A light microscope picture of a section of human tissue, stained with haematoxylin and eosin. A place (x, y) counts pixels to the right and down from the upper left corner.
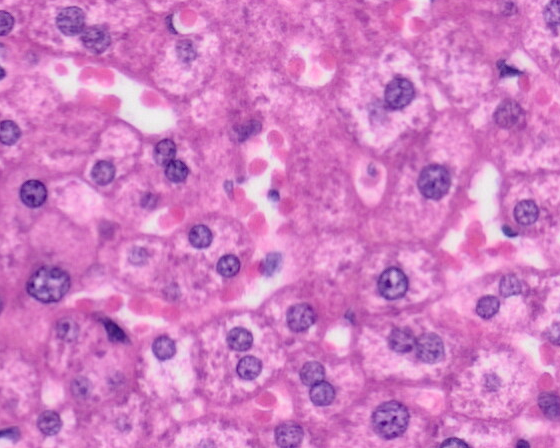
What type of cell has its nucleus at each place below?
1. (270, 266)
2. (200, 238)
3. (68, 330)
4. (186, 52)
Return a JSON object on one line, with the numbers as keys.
{"1": "endothelial cell", "2": "hepatocyte", "3": "hepatocyte", "4": "hepatocyte"}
